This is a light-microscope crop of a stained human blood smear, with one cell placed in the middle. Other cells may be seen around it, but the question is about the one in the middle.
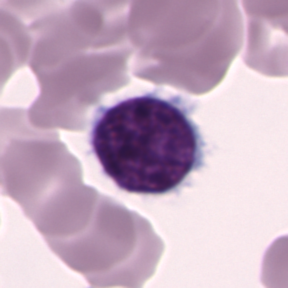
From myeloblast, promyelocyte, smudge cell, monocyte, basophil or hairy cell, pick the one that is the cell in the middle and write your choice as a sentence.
The crop centres on a single cell, and that cell is a hairy cell.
